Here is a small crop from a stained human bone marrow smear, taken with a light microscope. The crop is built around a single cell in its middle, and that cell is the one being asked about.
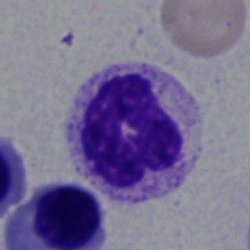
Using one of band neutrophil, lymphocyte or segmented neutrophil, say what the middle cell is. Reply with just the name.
band neutrophil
